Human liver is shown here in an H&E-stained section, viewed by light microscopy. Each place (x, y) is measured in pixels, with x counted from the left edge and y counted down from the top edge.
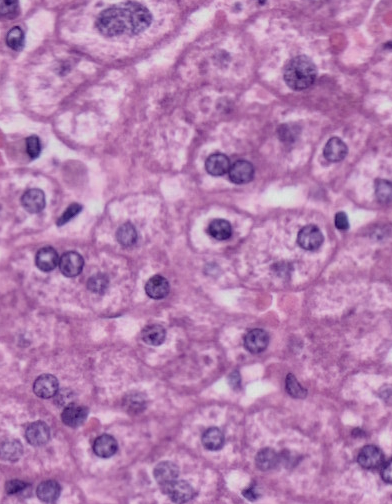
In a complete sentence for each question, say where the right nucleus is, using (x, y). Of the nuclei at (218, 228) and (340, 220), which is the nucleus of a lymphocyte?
The nucleus that belongs to a lymphocyte is located at (340, 220).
